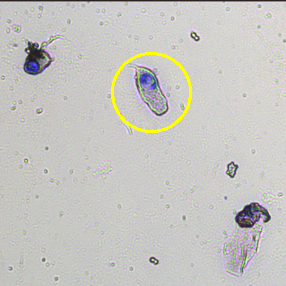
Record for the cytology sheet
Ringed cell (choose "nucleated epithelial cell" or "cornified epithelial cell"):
nucleated epithelial cell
